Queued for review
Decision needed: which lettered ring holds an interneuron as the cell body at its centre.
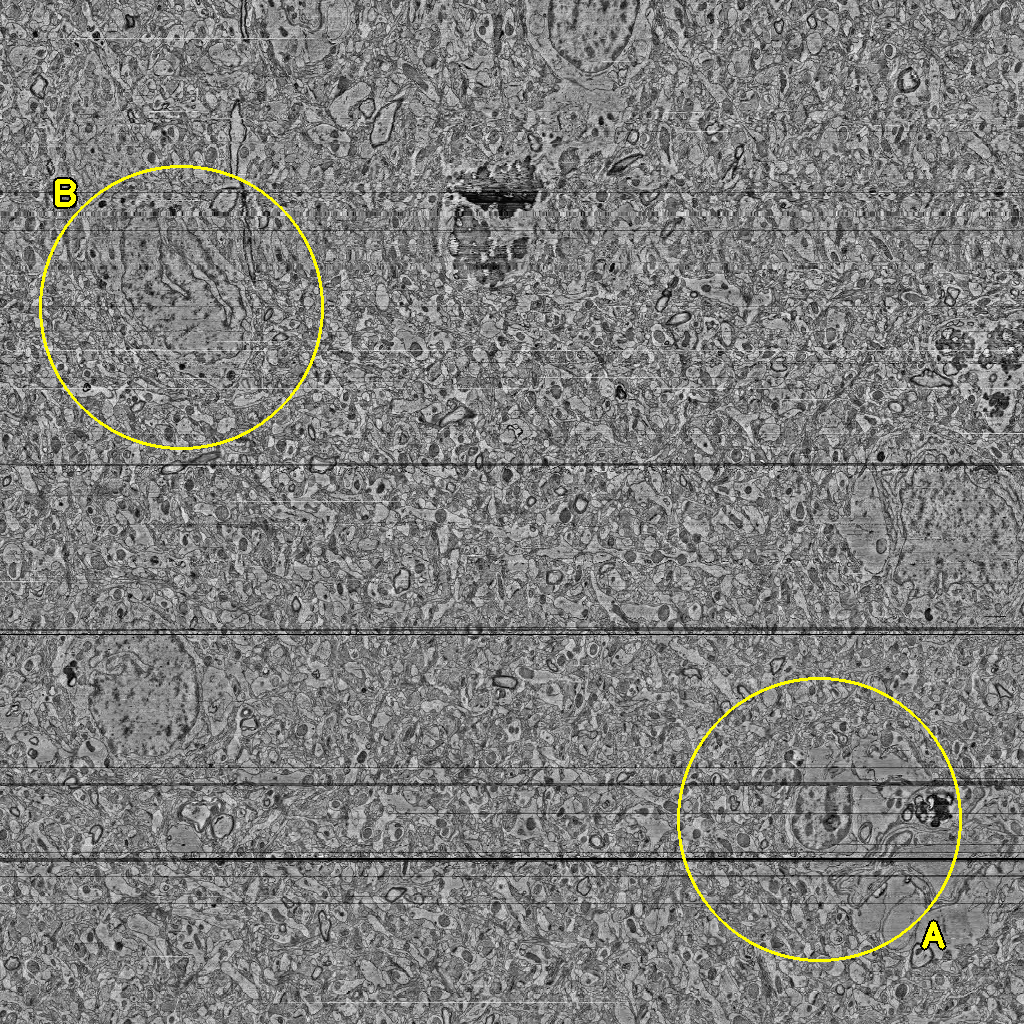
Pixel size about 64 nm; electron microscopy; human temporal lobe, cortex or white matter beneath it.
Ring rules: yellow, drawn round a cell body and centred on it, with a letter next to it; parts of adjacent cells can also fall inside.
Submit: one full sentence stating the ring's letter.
The cell asked for is the one at the centre of ring B in the picture.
